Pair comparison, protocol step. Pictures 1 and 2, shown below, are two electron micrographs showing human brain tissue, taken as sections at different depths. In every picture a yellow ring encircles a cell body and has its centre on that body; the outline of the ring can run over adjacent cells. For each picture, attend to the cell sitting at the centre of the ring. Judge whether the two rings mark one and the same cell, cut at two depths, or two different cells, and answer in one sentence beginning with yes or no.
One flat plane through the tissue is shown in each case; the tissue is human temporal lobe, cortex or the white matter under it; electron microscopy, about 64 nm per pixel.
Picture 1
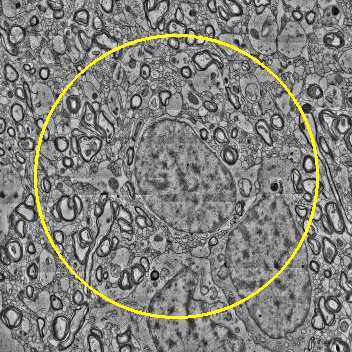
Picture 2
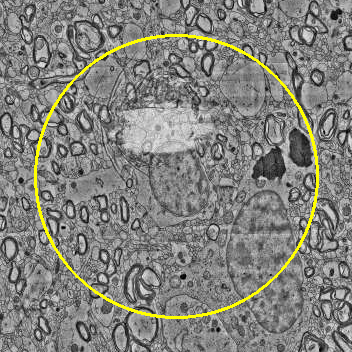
Yes, the marked cell is the same in both rings.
